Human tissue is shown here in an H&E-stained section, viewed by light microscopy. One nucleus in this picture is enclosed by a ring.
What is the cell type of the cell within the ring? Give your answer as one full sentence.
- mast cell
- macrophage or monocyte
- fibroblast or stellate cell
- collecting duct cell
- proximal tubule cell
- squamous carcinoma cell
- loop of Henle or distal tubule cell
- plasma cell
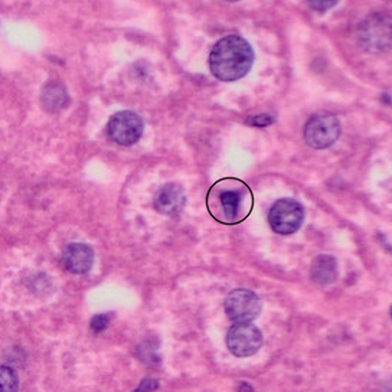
In the stained section, the cell within the ring is a fibroblast or stellate cell.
